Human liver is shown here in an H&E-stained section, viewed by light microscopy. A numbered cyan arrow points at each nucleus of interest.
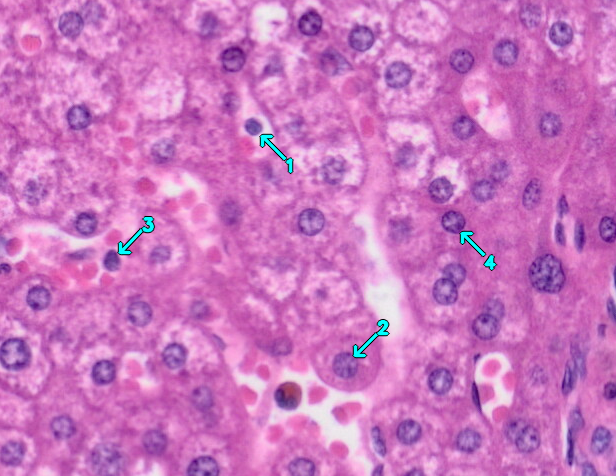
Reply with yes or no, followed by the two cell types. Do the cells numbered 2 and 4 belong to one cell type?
Yes, that is right: cells 2 and 4 are both hepatocytes.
